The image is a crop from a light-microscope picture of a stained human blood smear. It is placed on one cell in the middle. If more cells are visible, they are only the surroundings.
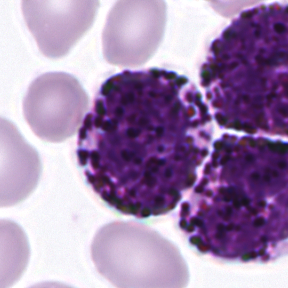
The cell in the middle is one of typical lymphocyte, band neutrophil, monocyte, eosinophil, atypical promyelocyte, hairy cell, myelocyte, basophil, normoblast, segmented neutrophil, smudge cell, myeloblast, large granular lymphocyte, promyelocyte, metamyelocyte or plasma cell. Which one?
basophil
